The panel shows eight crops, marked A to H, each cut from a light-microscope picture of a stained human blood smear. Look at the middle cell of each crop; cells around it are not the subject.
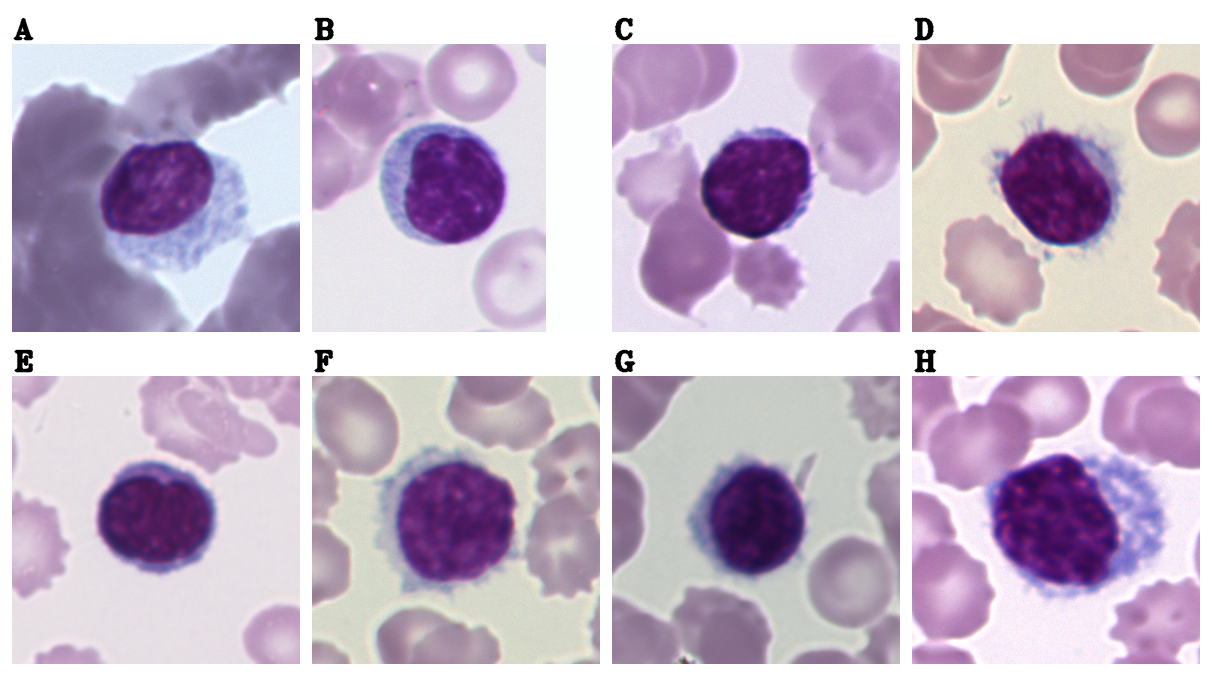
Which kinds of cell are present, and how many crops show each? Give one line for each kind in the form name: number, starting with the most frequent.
hairy cell: 5
typical lymphocyte: 3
